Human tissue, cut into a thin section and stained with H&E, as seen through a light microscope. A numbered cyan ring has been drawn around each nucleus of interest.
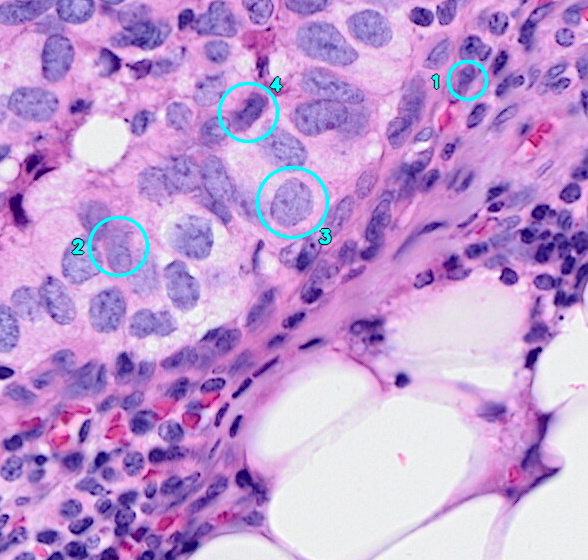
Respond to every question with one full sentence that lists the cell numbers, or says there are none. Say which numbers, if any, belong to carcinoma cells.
The cells identified by the numbers 2, 3 and 4 are carcinoma cells.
